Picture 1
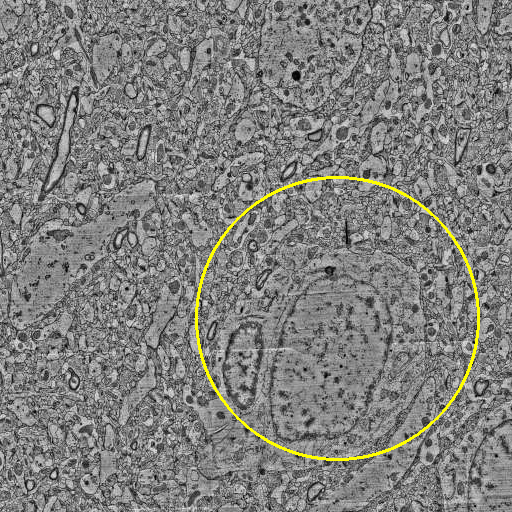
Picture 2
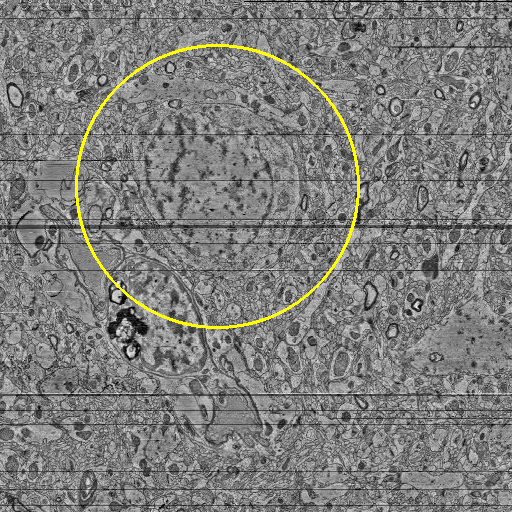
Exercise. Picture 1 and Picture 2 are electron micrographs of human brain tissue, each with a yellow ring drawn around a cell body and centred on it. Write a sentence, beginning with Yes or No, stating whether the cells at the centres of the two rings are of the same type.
Yes, the cells at the centres of both rings are of the same type.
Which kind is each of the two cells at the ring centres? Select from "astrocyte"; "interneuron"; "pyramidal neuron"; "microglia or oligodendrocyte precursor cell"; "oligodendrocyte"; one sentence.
In each picture the ringed cell is an interneuron.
